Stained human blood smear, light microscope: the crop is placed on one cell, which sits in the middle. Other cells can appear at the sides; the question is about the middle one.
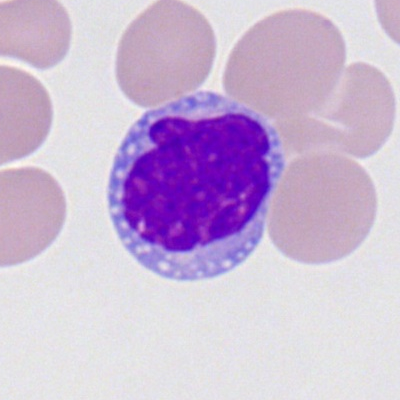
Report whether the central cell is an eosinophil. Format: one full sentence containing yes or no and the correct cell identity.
No, the cell at the centre of the crop is a monocyte and not an eosinophil.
